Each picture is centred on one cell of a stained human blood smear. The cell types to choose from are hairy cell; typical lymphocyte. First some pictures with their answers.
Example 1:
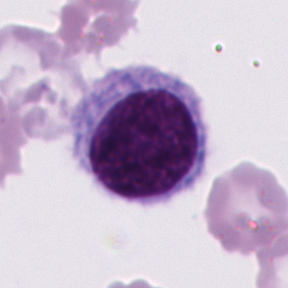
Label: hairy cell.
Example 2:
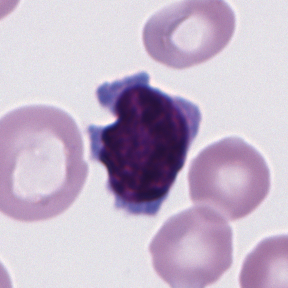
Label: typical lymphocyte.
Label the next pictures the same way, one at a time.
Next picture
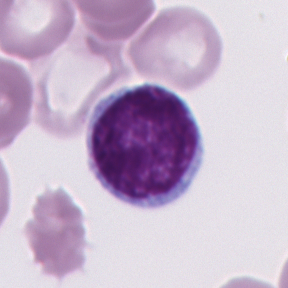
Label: typical lymphocyte.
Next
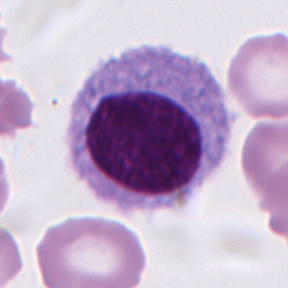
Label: hairy cell.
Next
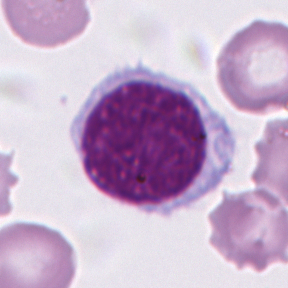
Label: hairy cell.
